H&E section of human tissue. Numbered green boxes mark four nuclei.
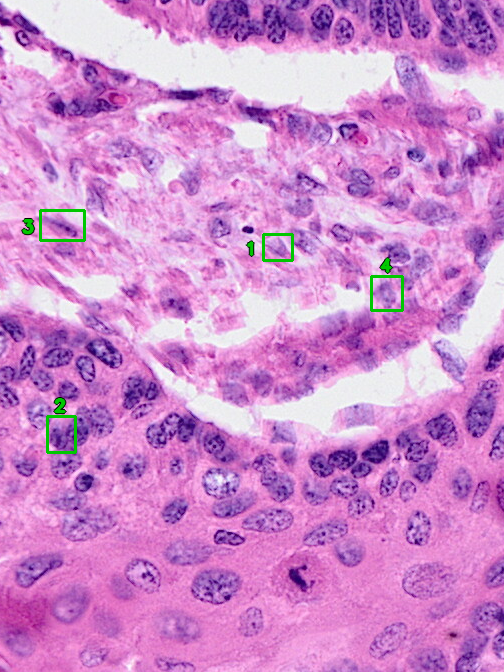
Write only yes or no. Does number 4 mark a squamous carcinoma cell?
no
